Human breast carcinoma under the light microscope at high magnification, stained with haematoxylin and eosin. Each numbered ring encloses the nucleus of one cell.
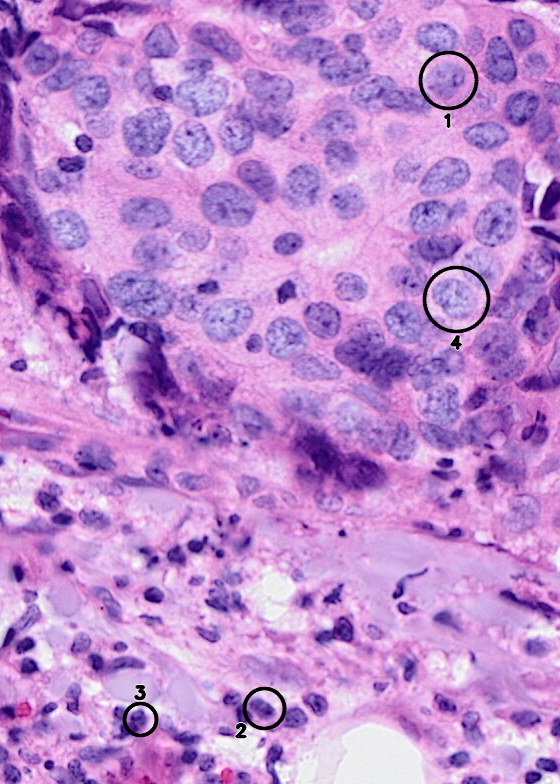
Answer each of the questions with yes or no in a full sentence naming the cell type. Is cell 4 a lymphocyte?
No, number 4 corresponds to a carcinoma cell, not a lymphocyte.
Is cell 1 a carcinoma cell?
Yes, in this section the cell with number 1 is a carcinoma cell.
